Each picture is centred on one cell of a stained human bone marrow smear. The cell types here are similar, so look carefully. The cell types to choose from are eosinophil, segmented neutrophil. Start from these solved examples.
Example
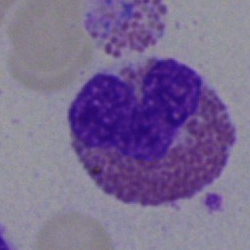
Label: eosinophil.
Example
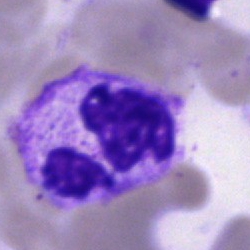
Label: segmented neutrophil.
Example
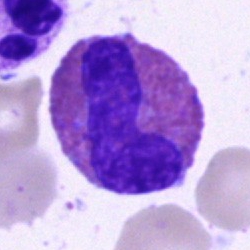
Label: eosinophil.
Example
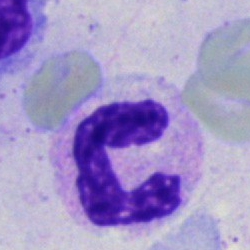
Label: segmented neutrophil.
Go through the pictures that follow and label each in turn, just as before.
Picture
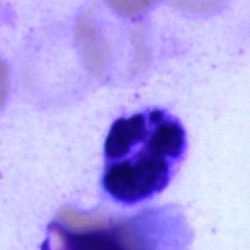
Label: segmented neutrophil.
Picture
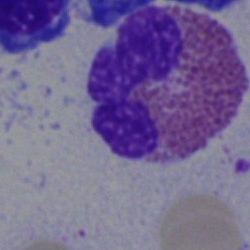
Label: eosinophil.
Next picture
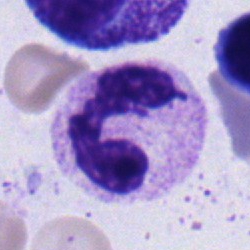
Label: segmented neutrophil.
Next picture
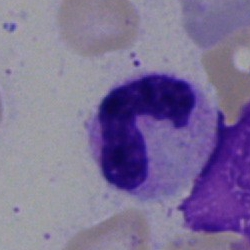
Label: segmented neutrophil.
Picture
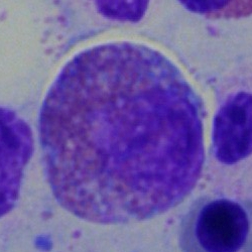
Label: eosinophil.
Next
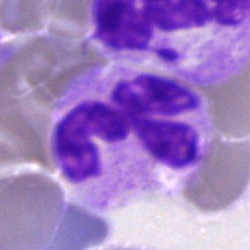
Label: segmented neutrophil.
